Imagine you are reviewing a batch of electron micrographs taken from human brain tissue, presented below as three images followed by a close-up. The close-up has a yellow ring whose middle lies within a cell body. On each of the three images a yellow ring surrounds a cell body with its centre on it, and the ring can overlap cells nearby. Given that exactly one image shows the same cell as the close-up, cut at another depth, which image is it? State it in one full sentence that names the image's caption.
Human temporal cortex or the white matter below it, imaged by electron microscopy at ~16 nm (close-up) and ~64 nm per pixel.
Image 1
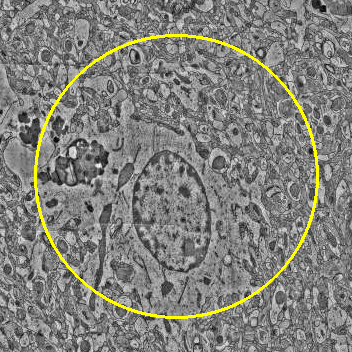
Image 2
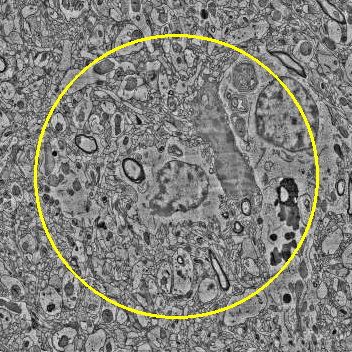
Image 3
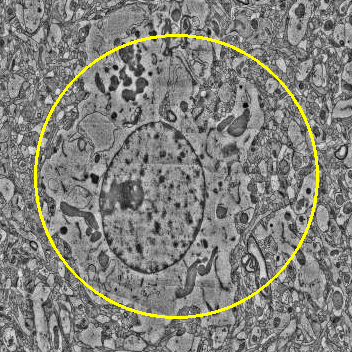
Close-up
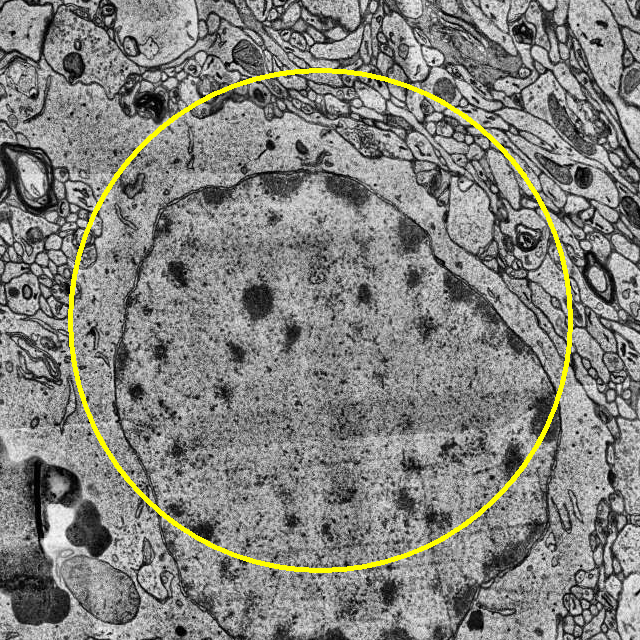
The close-up shows the same cell that is ringed in Image 2.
